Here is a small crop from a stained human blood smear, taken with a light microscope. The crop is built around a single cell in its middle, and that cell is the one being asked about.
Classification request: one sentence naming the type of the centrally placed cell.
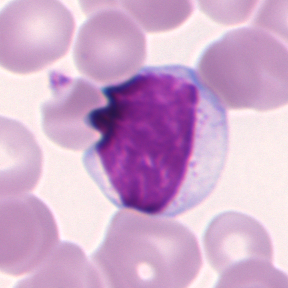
The cell occupying the middle of the crop is a large granular lymphocyte.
